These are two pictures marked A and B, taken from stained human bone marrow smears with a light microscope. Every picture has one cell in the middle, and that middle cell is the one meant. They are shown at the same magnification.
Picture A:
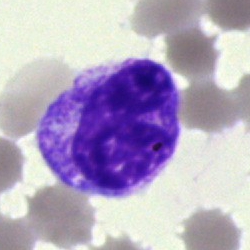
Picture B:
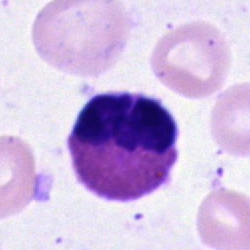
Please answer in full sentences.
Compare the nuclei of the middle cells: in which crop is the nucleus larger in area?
Picture A shows the larger nucleus; it covers about 2.5 times the area of the nucleus in picture B.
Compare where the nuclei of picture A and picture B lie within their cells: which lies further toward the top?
In picture B the nucleus is shifted more toward the top.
